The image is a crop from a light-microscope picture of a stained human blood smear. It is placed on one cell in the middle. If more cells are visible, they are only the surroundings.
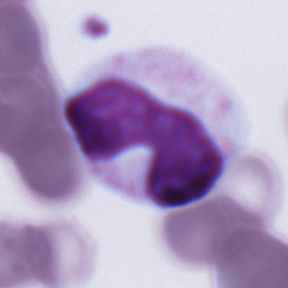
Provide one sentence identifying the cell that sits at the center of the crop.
For this crop, the cell in the middle is a band neutrophil.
